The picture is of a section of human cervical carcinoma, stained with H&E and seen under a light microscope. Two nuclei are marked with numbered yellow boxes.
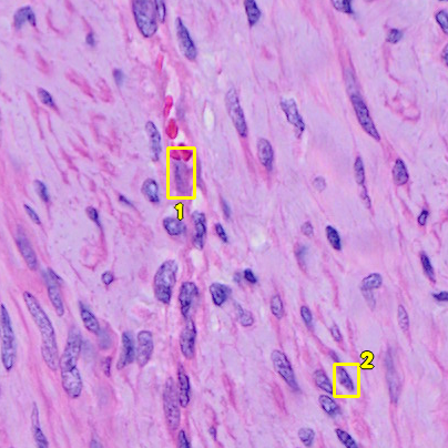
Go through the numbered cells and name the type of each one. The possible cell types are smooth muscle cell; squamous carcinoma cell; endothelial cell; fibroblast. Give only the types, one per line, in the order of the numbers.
endothelial cell
smooth muscle cell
